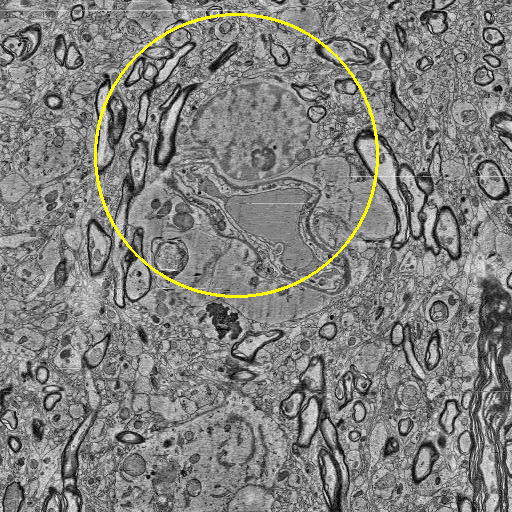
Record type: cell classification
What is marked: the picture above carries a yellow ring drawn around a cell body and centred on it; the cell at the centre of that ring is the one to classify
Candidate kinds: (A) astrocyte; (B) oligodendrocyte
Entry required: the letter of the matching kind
B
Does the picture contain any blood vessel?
Yes, there is one.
